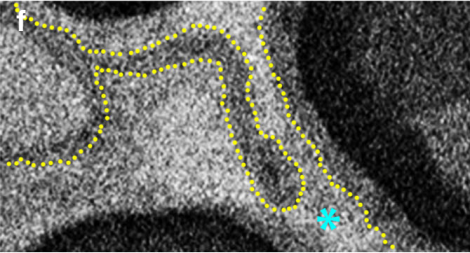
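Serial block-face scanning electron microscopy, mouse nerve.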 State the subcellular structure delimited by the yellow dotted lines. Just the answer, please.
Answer: Cell membranes.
